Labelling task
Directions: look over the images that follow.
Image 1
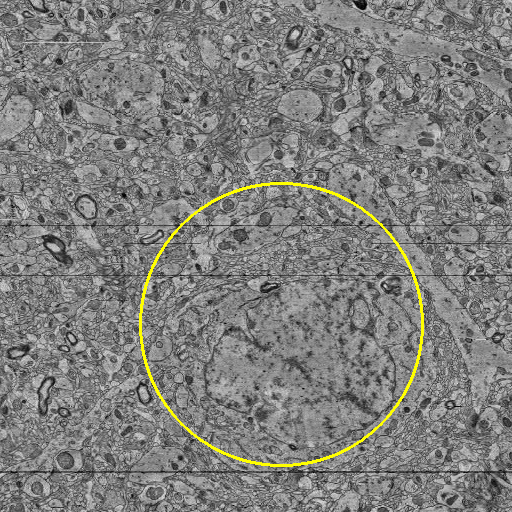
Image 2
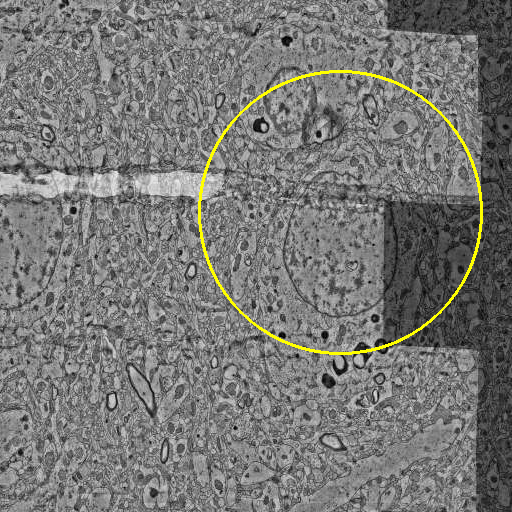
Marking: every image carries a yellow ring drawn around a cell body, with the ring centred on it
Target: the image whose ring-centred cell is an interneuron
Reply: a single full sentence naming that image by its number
The requested cell sits at the ring's centre in Image 1.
